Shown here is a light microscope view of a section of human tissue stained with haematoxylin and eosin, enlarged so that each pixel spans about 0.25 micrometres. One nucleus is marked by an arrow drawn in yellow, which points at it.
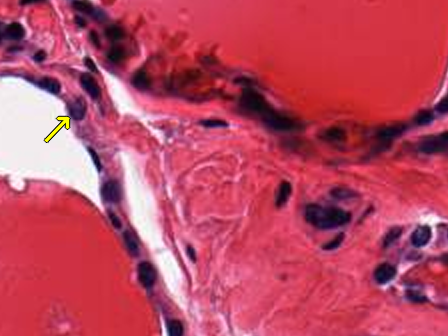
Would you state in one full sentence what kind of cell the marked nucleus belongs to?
The cell containing the marked nucleus is a thyroid follicular cell.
